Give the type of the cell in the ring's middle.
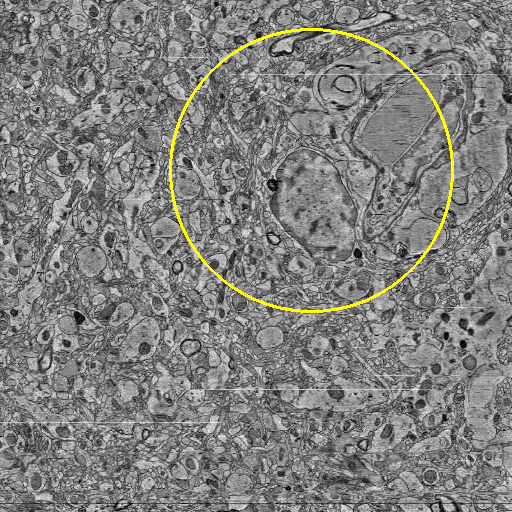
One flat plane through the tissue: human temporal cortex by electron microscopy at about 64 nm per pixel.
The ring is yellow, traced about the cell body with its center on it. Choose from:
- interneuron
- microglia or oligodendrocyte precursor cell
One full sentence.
Here, a microglial cell or oligodendrocyte precursor cell is the cell lying at the center of the yellow ring.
